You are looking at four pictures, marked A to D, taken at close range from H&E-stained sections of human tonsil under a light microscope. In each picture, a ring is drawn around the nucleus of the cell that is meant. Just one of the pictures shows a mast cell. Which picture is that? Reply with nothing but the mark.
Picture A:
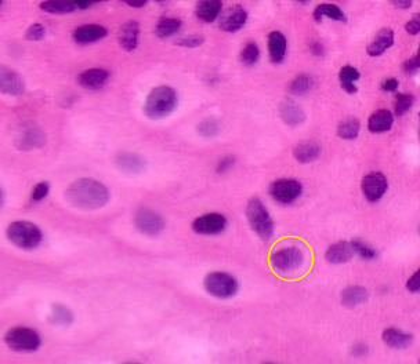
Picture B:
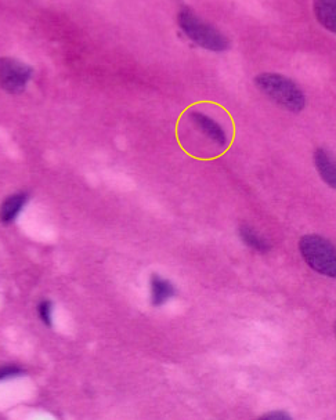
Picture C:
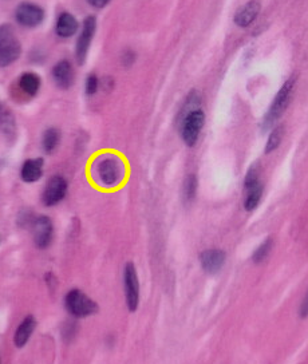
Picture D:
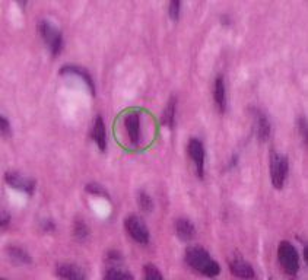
C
